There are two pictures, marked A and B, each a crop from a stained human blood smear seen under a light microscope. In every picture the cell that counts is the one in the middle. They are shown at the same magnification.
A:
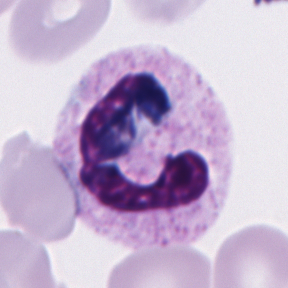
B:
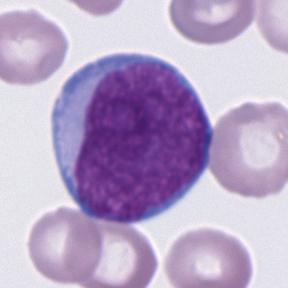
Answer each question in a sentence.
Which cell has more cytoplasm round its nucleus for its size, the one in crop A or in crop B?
It is the cell in crop A that is filled less by its nucleus.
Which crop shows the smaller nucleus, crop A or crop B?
It is the nucleus in crop A; the one in crop B has about 2 times its area.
